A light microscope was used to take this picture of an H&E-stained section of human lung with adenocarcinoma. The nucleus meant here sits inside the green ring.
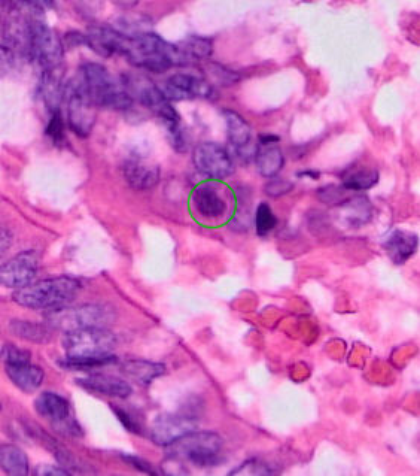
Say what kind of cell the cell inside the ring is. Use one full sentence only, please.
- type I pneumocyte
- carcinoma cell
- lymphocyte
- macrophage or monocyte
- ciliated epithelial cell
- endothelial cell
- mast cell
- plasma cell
Typologically, the cell inside the ring is a ciliated epithelial cell in this section.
